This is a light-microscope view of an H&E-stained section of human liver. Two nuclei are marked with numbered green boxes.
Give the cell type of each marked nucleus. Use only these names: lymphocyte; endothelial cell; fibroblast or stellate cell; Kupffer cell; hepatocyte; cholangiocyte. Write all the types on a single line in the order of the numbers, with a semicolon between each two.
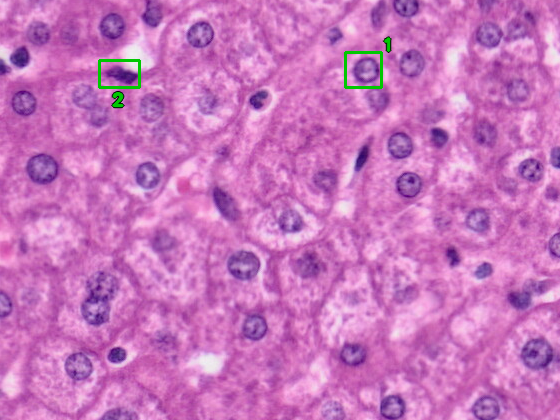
hepatocyte; fibroblast or stellate cell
